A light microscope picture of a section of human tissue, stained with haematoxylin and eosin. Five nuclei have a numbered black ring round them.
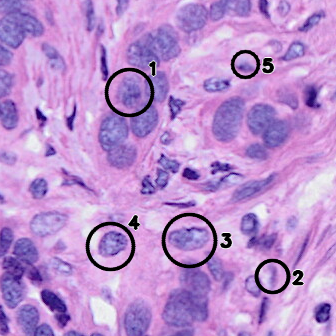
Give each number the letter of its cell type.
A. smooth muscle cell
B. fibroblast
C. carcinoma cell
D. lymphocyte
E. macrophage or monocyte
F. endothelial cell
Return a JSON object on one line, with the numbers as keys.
{"1": "C", "2": "B", "3": "B", "4": "E", "5": "B"}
